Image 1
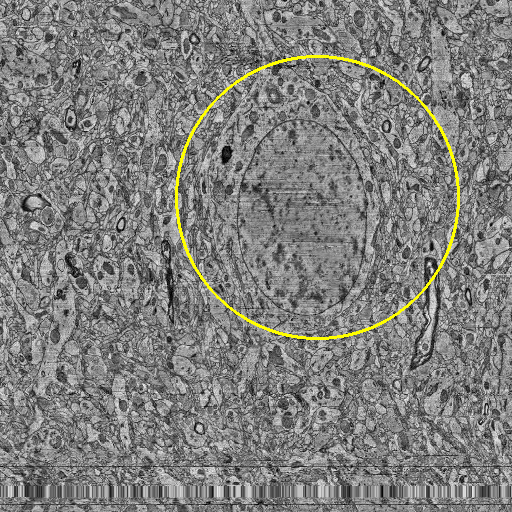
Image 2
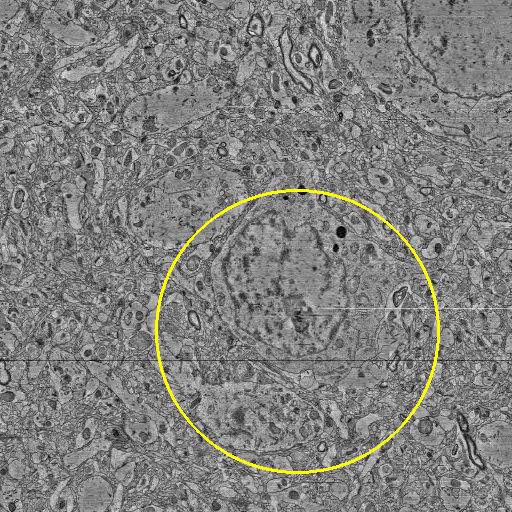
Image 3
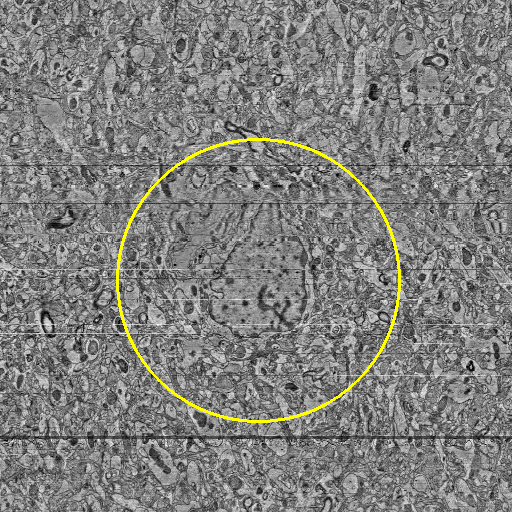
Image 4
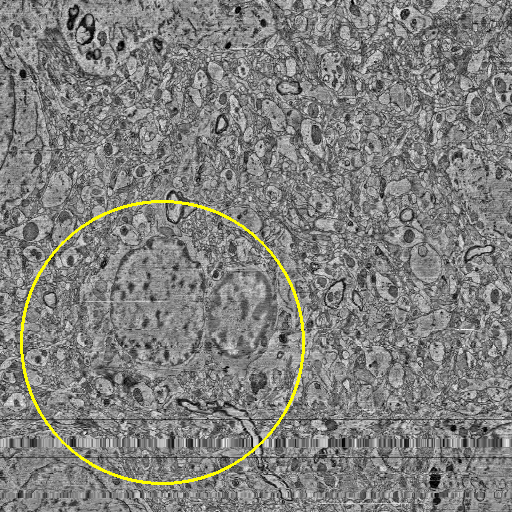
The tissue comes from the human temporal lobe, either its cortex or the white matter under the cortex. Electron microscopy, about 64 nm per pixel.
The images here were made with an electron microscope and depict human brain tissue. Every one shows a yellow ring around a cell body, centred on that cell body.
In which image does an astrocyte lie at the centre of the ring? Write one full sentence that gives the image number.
My answer is image 4, where the asked-for cell sits at the centre of the ring.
